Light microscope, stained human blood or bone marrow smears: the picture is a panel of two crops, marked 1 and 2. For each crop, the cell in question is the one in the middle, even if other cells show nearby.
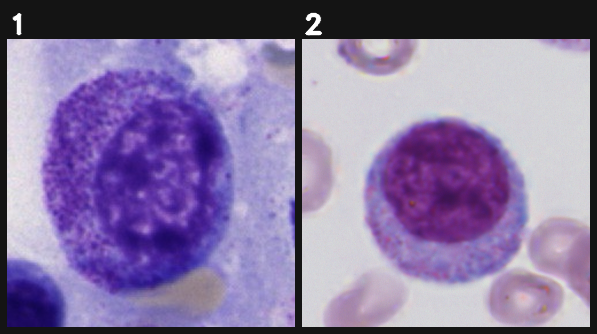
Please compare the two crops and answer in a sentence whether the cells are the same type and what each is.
No, a promyelocyte is in crop 1, and a myelocyte is in crop 2.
